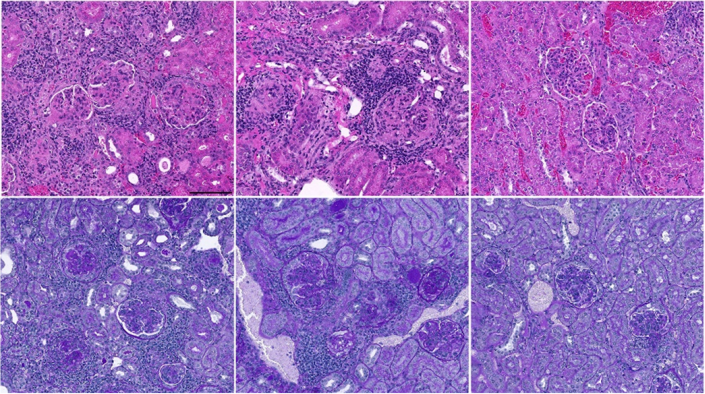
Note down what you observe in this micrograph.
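These are sections of kidney cortex showing glomeruli among tubules, stained pink and blue in the upper row and purple-magenta in the lower row. The glomeruli are round, cell-rich tufts inside clear spaces and are surrounded by cross-sectioned tubules lined with eosinophilic or magenta epithelium. In the left and middle images, dense sheets of small, dark, round nuclei fill the interstitium and gather around the glomeruli, pushing the tubules apart. In the right-hand images, such clusters are much scarcer, and the tubules lie more closely packed.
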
